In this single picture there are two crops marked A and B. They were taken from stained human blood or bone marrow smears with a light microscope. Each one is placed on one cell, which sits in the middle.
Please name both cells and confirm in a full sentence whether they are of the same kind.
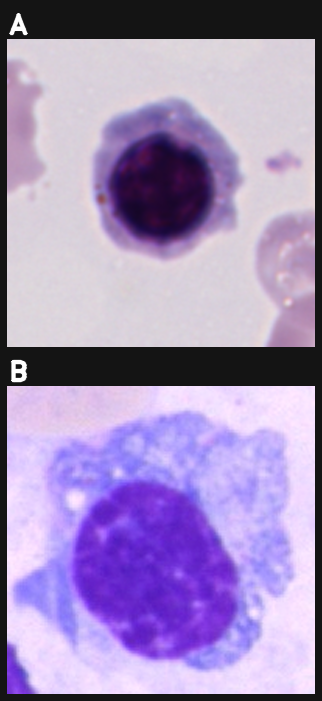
No, an erythroblast is the cell in crop A; a plasma cell is the cell in crop B.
